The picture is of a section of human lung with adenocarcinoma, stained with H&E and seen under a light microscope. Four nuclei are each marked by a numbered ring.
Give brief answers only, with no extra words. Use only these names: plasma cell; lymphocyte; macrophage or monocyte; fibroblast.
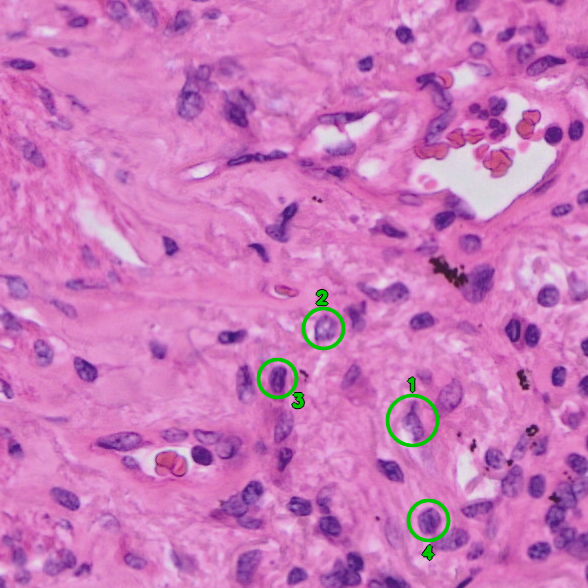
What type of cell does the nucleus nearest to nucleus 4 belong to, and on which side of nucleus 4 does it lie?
a fibroblast, below and to the right of nucleus 4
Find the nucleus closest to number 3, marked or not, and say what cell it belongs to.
fibroblast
